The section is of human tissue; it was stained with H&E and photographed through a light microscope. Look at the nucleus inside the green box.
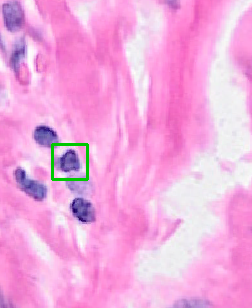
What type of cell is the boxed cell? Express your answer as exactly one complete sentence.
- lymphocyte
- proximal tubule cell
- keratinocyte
In terms of identity, the boxed cell is a lymphocyte.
